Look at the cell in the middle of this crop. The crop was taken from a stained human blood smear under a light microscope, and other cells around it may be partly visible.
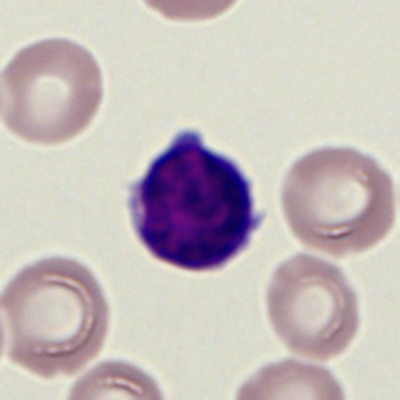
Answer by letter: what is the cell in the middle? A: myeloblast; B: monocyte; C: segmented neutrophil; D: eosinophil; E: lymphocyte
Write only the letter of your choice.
E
